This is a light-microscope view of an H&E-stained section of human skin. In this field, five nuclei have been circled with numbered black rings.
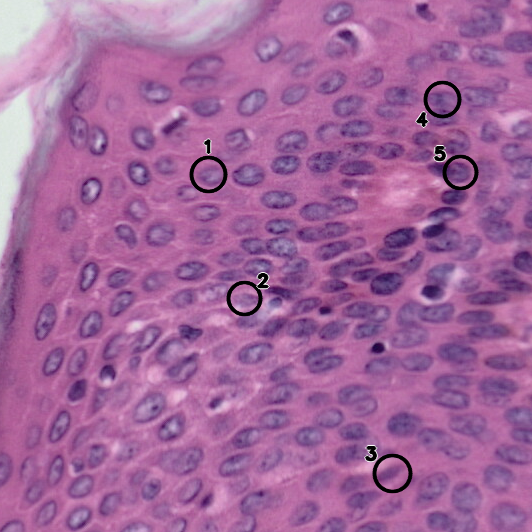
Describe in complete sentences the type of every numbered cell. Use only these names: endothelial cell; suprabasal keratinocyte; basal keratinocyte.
Cell 1 is a suprabasal keratinocyte, cell 2 is a basal keratinocyte, cell 3 is a basal keratinocyte, cell 4 is a suprabasal keratinocyte and cell 5 is a basal keratinocyte.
